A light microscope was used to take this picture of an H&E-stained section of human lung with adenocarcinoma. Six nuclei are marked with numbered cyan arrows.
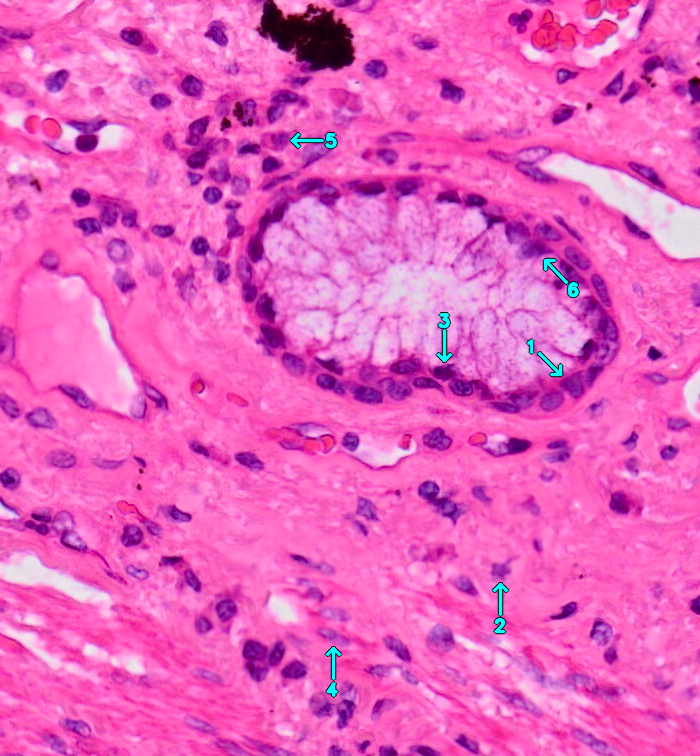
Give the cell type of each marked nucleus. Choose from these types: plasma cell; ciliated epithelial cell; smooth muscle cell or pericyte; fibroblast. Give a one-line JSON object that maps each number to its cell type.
{"1": "ciliated epithelial cell", "2": "fibroblast", "3": "ciliated epithelial cell", "4": "smooth muscle cell or pericyte", "5": "plasma cell", "6": "ciliated epithelial cell"}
